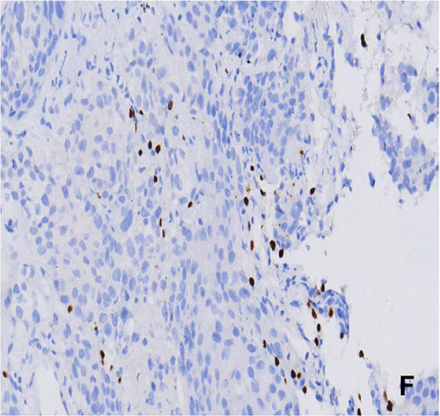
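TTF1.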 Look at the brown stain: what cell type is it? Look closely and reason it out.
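Brown nuclear stain in a few small scattered cells. Most nuclei in the sheet of cells are blue and unstained.
Conclusion: alveolar epithelial cells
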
